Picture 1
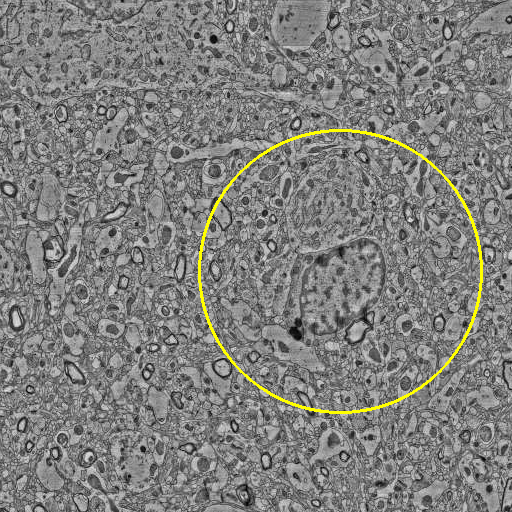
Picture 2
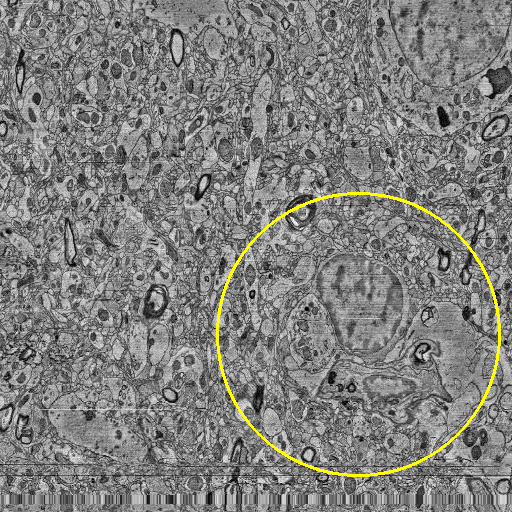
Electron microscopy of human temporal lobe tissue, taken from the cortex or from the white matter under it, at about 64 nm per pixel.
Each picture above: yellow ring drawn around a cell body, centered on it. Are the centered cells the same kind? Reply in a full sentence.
Yes, the two cells are the same kind.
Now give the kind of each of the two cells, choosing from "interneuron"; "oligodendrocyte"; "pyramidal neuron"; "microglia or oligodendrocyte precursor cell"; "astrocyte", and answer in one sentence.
Both rings mark an oligodendrocyte, one in each picture.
